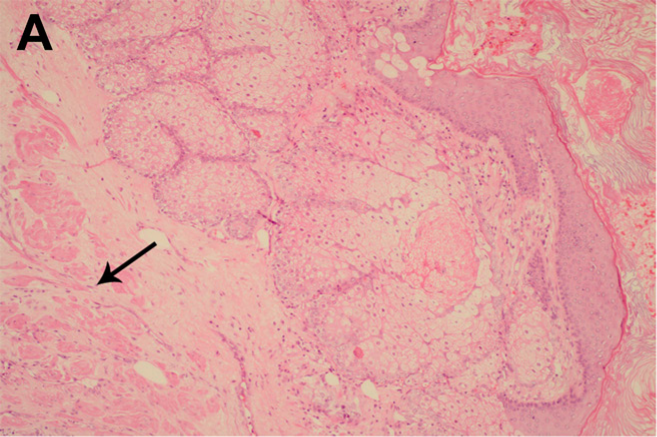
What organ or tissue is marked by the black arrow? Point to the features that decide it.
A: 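Smooth muscle. The arrow points to pink fascicles of elongated spindle cells at the left edge. These bundles lie beneath the pale glandular lobules.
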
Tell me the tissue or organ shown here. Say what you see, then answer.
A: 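Keratinizing squamous epithelium. A thick band of stratified epithelium runs along the right side. A thin pink layer lies on its outer surface.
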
